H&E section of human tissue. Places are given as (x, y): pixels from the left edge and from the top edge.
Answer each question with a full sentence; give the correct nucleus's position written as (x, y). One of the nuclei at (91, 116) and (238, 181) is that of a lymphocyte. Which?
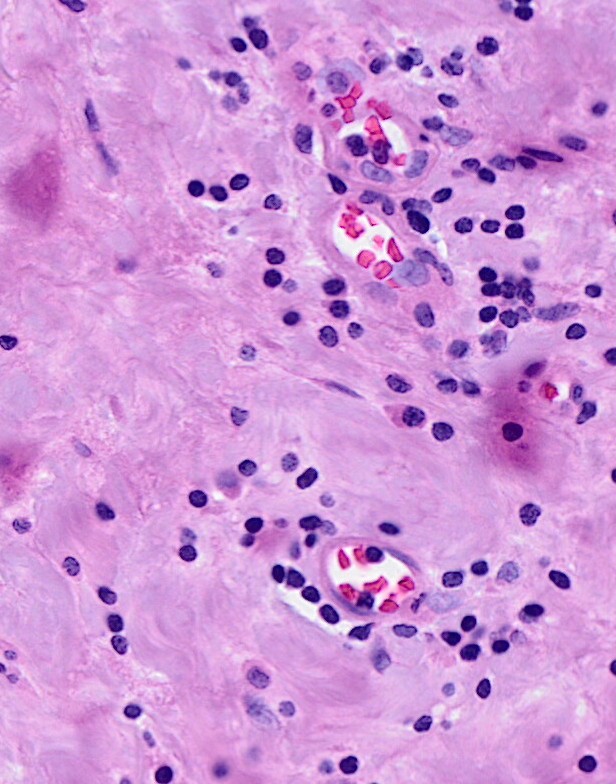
The nucleus situated at (238, 181) is the one belonging to a lymphocyte.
